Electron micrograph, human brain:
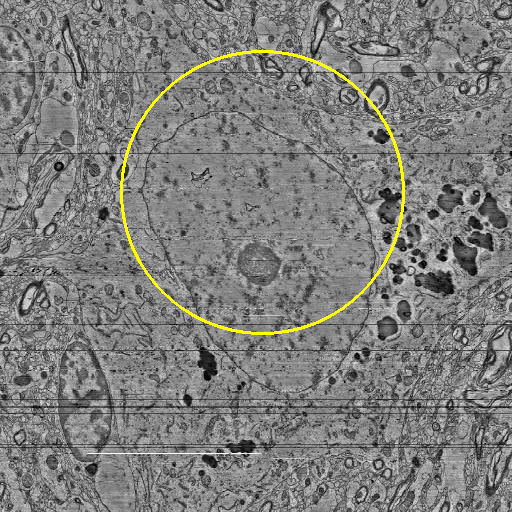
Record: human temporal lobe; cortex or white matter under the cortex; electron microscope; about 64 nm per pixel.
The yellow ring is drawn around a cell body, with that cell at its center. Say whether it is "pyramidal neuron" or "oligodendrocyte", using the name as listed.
pyramidal neuron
